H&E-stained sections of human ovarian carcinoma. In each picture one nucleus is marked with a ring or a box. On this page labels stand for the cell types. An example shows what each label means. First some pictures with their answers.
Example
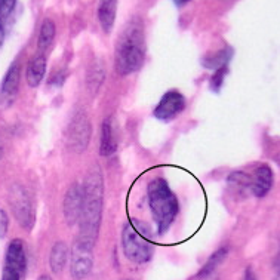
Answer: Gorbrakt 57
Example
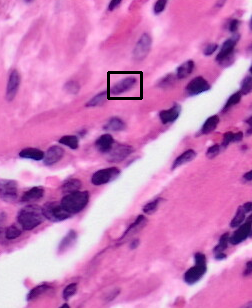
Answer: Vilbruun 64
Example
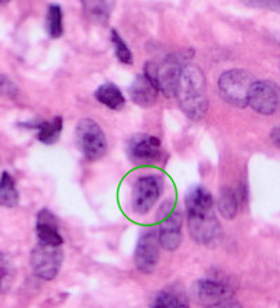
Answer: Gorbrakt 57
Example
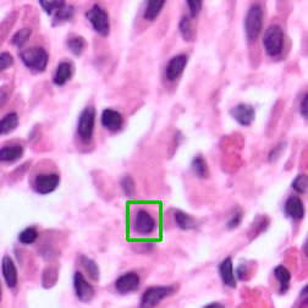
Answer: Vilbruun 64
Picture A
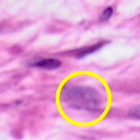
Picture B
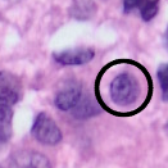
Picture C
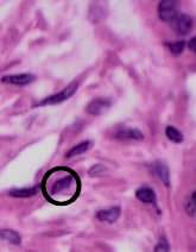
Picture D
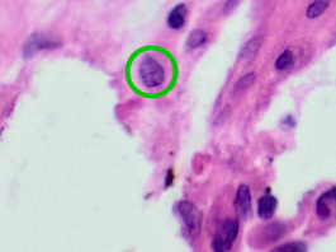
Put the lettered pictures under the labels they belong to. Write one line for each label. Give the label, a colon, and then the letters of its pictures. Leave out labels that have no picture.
Gorbrakt 57: B, D
Vilbruun 64: A, C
